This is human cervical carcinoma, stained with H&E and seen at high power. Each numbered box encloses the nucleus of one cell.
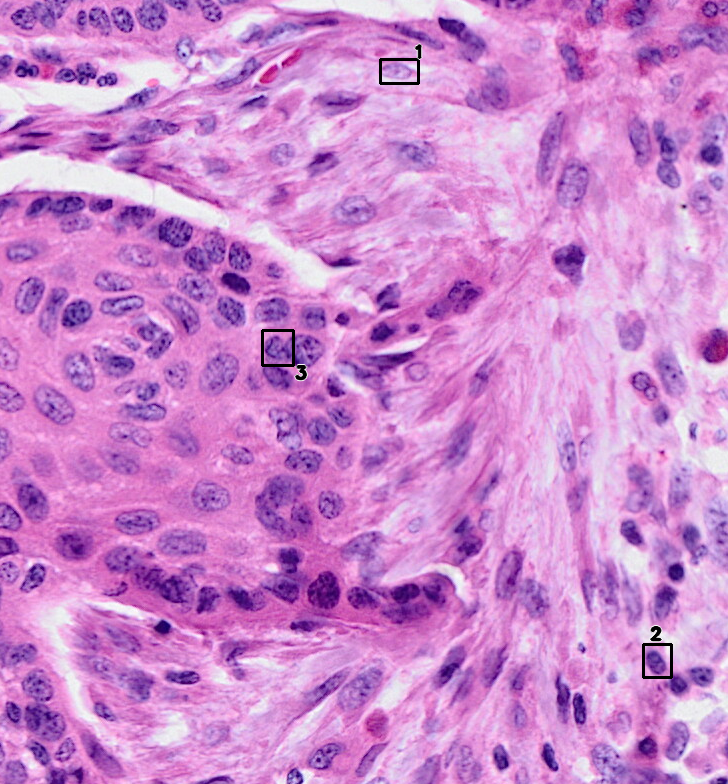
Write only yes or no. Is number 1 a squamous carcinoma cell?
no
